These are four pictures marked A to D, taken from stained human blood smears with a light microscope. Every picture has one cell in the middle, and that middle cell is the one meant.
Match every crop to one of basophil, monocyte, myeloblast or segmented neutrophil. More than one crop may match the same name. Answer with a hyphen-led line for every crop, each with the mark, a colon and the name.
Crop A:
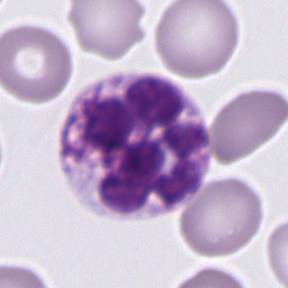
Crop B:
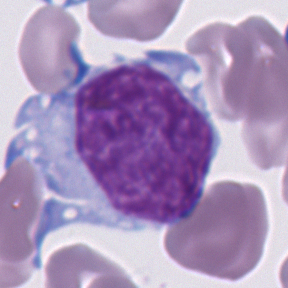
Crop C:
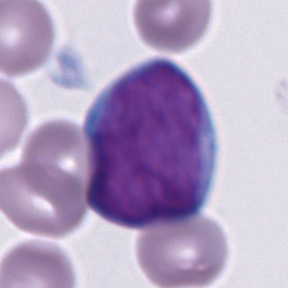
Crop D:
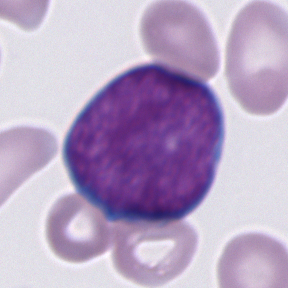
- A: basophil
- B: myeloblast
- C: myeloblast
- D: myeloblast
